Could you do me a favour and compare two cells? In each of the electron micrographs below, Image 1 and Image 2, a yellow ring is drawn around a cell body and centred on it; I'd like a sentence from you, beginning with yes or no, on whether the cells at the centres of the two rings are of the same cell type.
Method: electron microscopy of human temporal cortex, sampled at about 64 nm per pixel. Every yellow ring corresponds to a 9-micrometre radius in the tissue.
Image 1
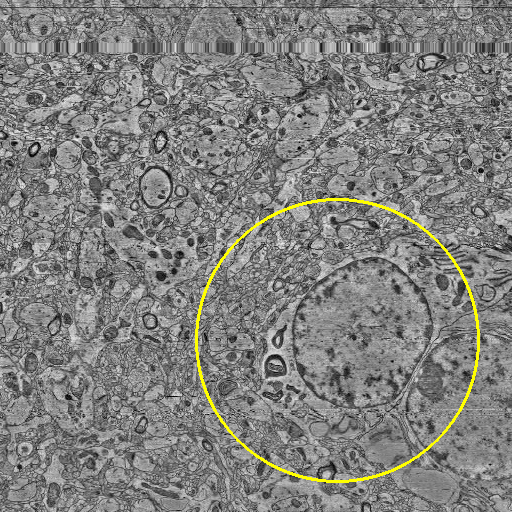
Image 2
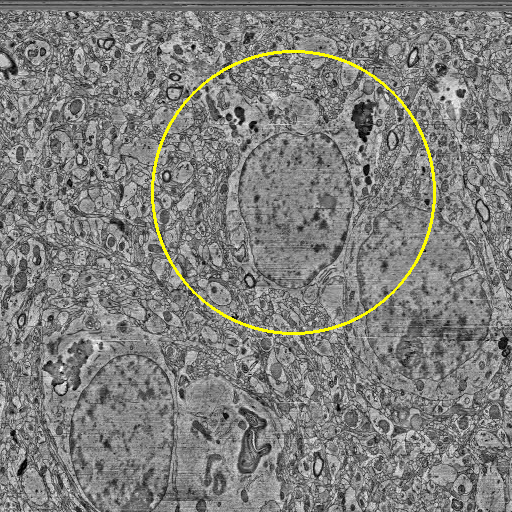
Yes, the two cells are of the same cell type.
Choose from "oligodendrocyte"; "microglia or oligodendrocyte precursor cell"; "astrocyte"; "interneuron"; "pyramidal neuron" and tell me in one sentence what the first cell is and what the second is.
Each of the two pictures has an astrocyte at the ring centre.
